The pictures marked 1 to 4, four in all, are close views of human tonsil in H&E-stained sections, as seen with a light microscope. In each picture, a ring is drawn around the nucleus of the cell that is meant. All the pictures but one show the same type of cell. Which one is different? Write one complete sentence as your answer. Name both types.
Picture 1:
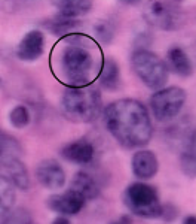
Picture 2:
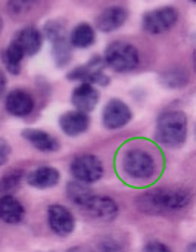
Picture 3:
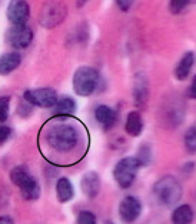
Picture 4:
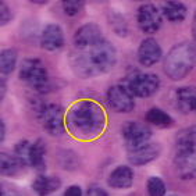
Picture 1 differs, because its cell is a proliferating B cell and the rest are plasma cells.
